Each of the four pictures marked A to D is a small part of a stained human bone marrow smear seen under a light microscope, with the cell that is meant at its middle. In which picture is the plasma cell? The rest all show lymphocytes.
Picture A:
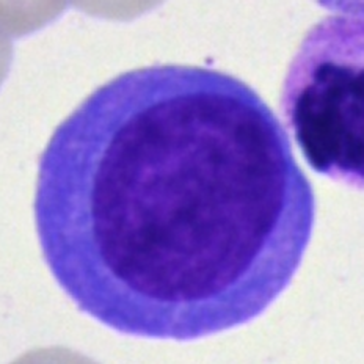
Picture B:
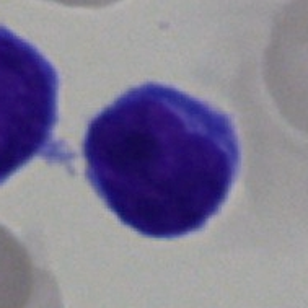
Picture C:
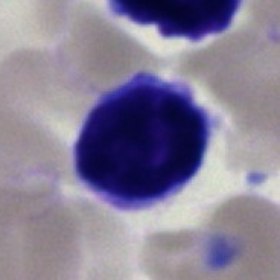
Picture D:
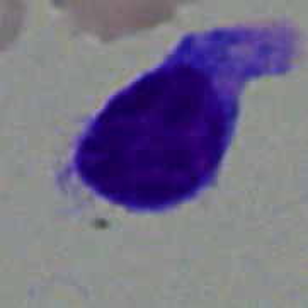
A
